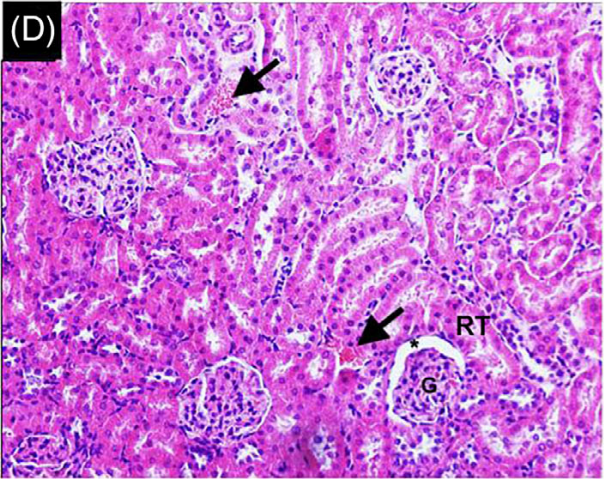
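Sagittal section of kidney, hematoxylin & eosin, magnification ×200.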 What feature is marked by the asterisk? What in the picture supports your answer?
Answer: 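The asterisk sits at a clear crescent-shaped space between a rounded cellular tuft and its thin outer wall.
Bowman's capsule space.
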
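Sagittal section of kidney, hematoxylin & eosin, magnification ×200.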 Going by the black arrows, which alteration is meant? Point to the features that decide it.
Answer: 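Congested vessels. The arrows point to small clusters of red-staining red blood cells between tubules.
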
